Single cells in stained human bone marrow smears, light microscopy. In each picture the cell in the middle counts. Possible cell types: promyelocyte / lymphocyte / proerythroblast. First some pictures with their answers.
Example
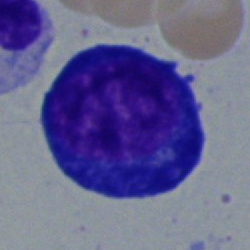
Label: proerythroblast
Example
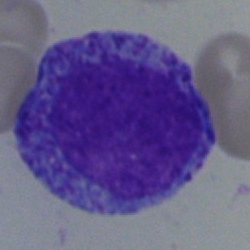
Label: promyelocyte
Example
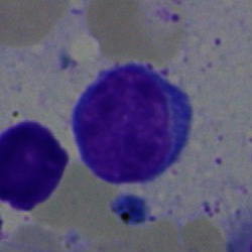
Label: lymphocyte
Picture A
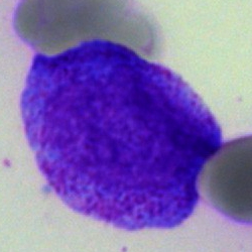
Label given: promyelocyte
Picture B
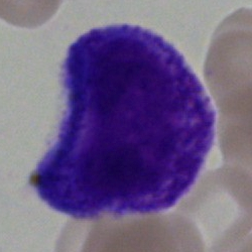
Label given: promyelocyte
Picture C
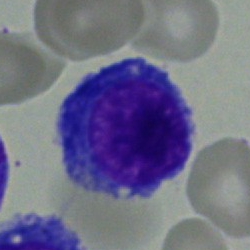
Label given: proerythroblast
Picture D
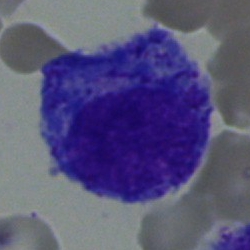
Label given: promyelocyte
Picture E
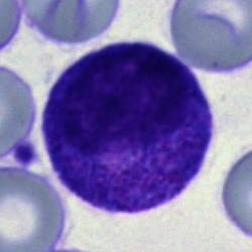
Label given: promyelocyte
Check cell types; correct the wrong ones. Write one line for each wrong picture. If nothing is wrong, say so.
No label is wrong.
